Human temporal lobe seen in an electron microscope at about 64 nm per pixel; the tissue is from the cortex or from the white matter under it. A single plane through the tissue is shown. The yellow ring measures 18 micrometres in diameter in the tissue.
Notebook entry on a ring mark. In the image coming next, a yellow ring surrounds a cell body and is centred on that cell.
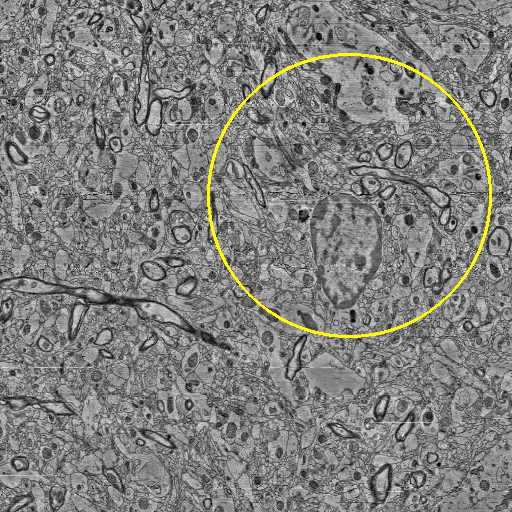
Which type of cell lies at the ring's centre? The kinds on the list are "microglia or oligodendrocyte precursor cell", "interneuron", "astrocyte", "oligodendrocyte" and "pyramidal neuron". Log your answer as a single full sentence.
Centred in the yellow ring is a microglial cell or oligodendrocyte precursor cell, the cell recorded for this image.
